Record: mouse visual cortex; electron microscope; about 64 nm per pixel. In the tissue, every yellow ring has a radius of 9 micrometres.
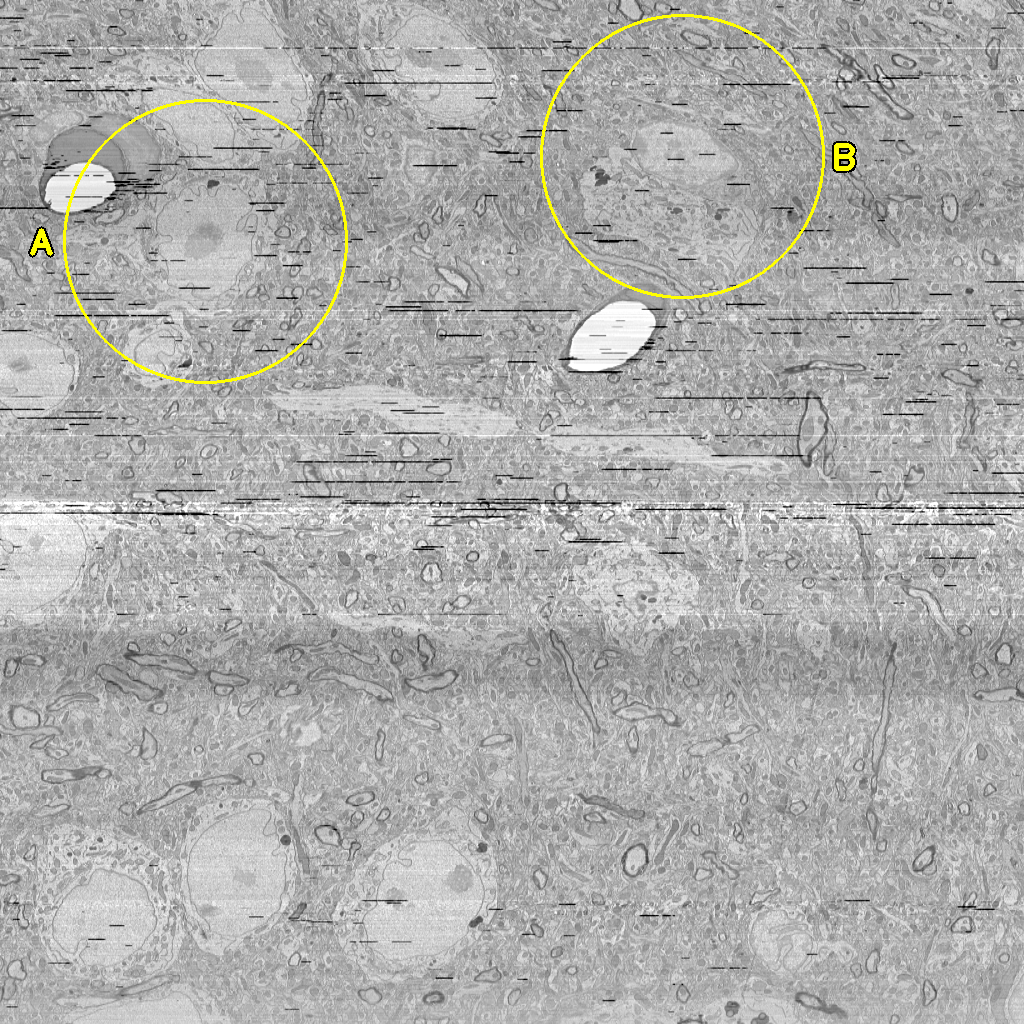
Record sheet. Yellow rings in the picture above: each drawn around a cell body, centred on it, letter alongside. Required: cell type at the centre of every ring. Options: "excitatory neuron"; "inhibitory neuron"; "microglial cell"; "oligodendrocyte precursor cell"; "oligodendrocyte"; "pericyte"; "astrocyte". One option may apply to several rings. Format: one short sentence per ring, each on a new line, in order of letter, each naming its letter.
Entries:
Ring A contains an excitatory neuron at the centre.
Ring B contains an oligodendrocyte at the centre.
